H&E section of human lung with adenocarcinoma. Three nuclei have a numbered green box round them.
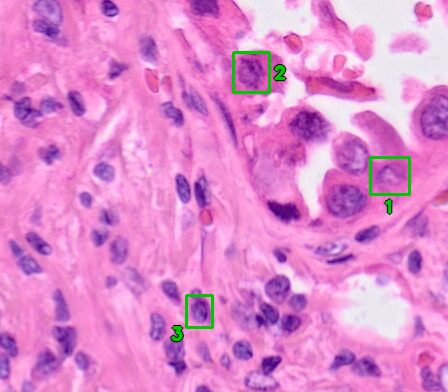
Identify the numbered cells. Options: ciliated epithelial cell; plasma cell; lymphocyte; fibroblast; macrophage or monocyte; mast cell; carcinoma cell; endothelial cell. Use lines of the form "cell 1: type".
cell 1: carcinoma cell
cell 2: carcinoma cell
cell 3: plasma cell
